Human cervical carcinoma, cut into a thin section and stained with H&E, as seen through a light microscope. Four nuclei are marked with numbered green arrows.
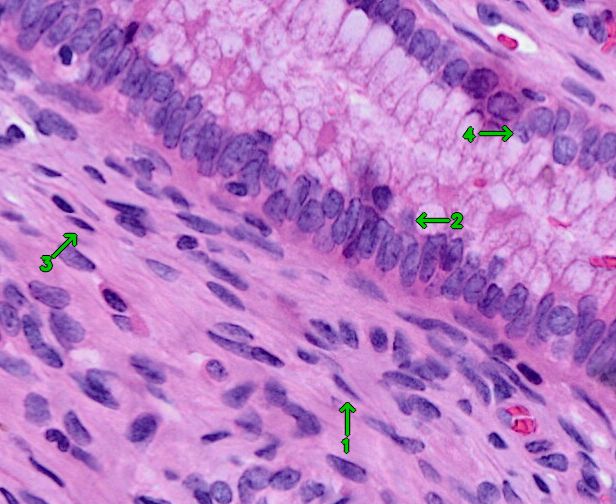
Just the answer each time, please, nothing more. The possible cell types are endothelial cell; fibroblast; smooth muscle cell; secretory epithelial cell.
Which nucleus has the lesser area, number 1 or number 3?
3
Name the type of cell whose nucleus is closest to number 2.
secretory epithelial cell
